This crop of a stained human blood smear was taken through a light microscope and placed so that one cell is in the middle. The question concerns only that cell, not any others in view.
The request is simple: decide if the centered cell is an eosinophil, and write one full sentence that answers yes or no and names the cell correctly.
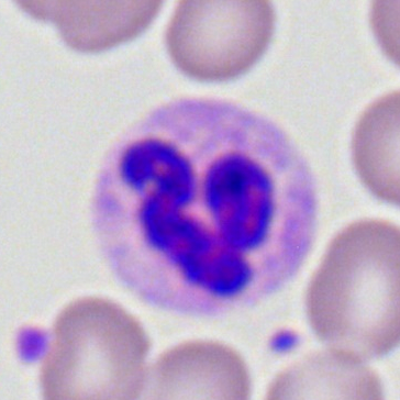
No, the centre cell is not an eosinophil but a neutrophil.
